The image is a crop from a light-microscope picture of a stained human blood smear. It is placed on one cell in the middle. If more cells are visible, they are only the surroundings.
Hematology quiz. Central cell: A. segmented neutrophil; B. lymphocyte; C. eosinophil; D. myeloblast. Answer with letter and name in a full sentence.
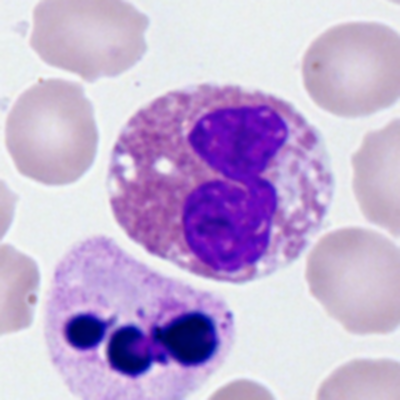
Correctly, option C names the cell in the middle an eosinophil.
